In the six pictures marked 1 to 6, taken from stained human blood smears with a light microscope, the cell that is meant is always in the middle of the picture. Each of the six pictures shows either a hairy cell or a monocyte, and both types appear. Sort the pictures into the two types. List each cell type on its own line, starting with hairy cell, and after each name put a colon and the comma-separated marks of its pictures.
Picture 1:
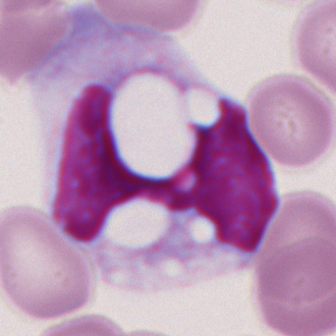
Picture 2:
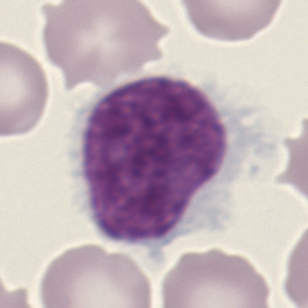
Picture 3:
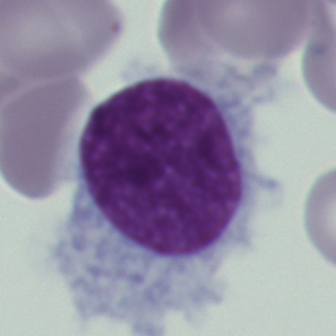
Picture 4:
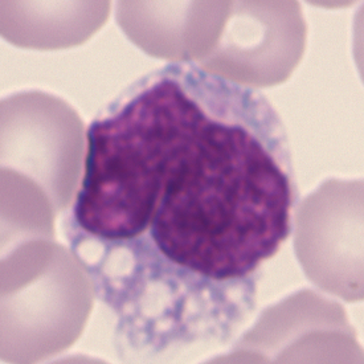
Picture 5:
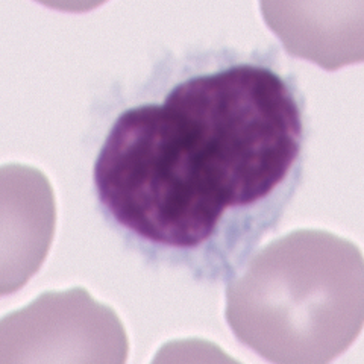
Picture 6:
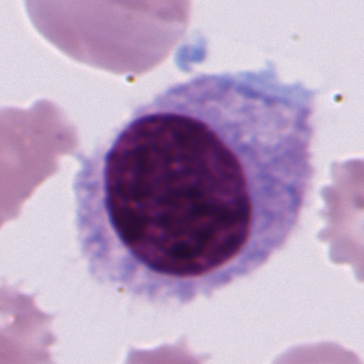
hairy cell: 2, 3, 5, 6
monocyte: 1, 4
